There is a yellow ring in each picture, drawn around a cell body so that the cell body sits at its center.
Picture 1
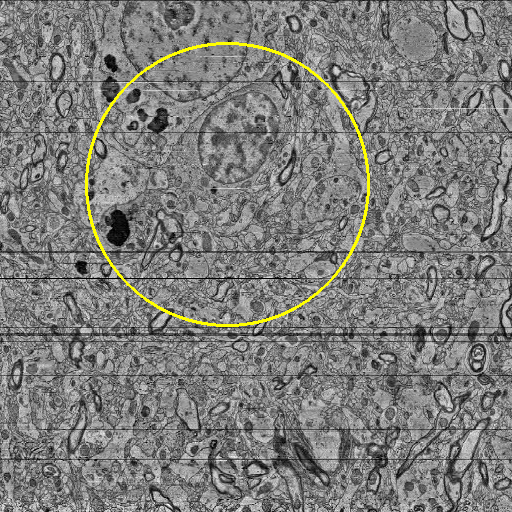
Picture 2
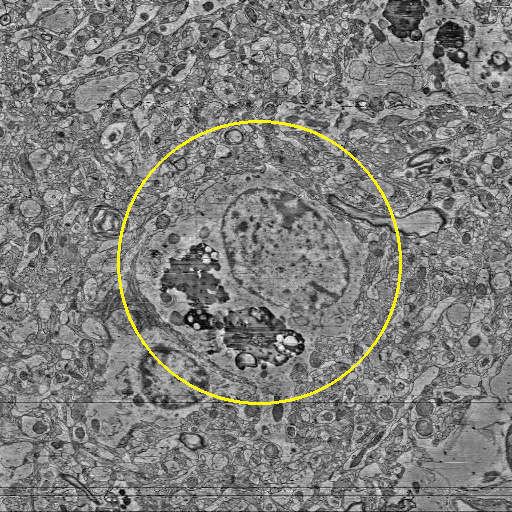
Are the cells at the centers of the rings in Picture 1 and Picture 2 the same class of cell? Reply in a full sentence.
No, the two cells are two classes of cell.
